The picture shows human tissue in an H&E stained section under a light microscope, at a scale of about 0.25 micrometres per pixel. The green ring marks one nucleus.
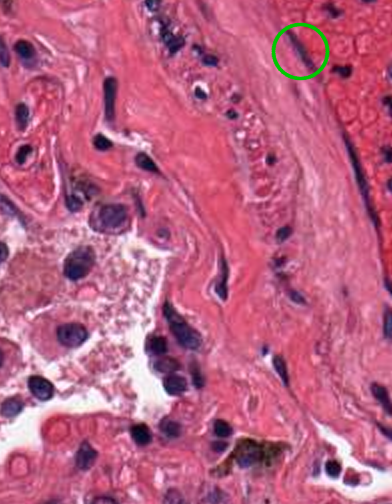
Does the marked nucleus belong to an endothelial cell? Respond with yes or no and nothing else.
yes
